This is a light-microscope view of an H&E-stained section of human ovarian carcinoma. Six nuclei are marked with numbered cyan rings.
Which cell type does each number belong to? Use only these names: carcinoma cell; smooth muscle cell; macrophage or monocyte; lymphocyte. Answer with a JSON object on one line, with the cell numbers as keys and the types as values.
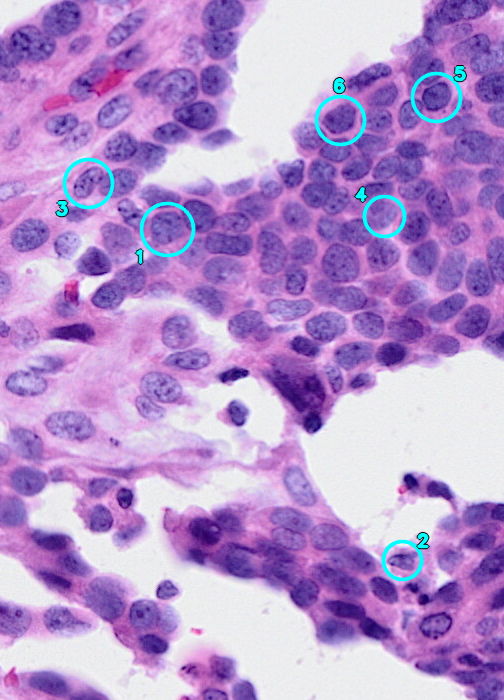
{"1": "carcinoma cell", "2": "macrophage or monocyte", "3": "macrophage or monocyte", "4": "carcinoma cell", "5": "carcinoma cell", "6": "carcinoma cell"}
